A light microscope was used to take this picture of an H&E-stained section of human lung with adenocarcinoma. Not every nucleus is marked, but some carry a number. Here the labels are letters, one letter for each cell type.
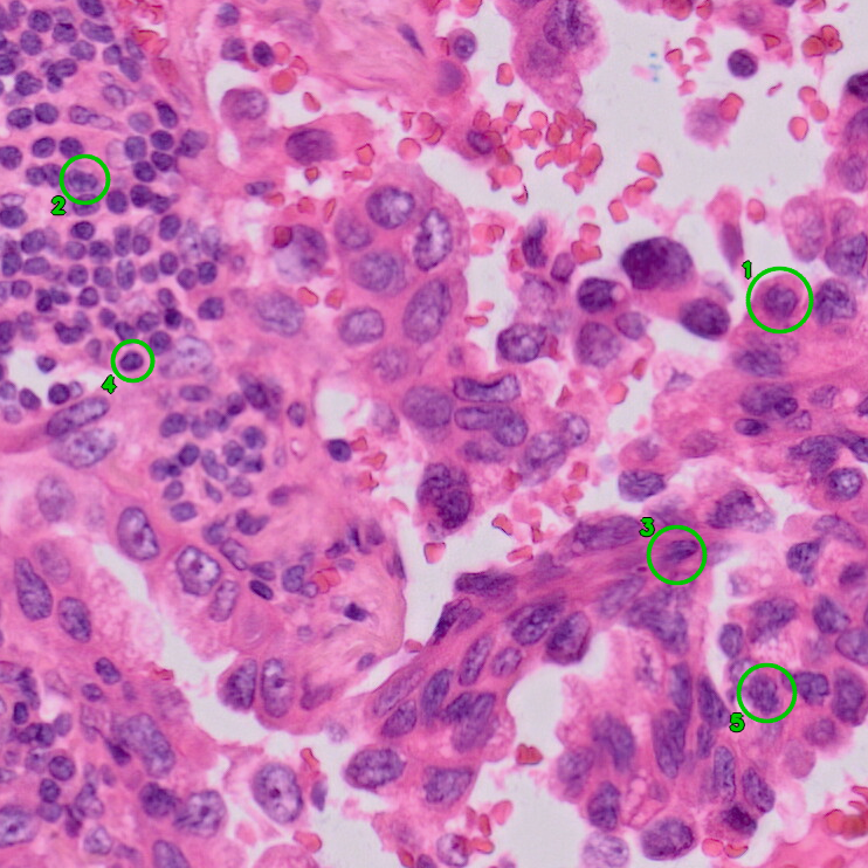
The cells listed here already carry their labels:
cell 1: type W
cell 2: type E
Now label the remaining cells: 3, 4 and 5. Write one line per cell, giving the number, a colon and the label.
3: type W
4: type E
5: type W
